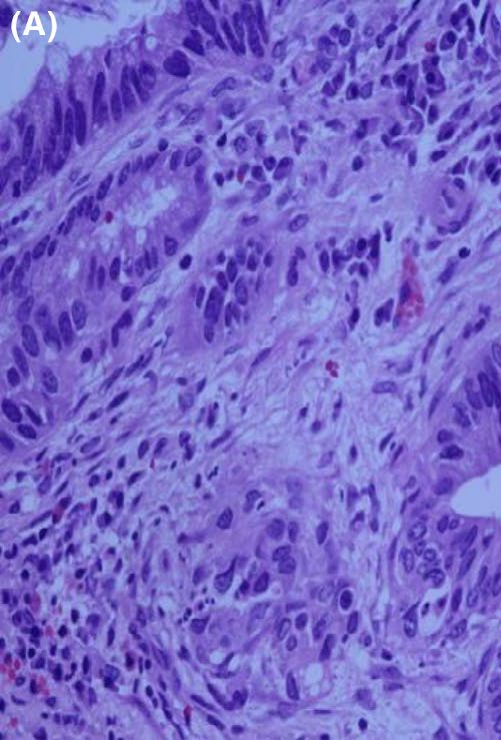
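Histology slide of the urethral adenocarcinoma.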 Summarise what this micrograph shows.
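One gland in the lower right has an open lumen, and its lining cells have elongated, dark purple nuclei crowded toward the base. Elsewhere the epithelial cells form irregular clusters and partial glands rather than neat round tubes.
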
